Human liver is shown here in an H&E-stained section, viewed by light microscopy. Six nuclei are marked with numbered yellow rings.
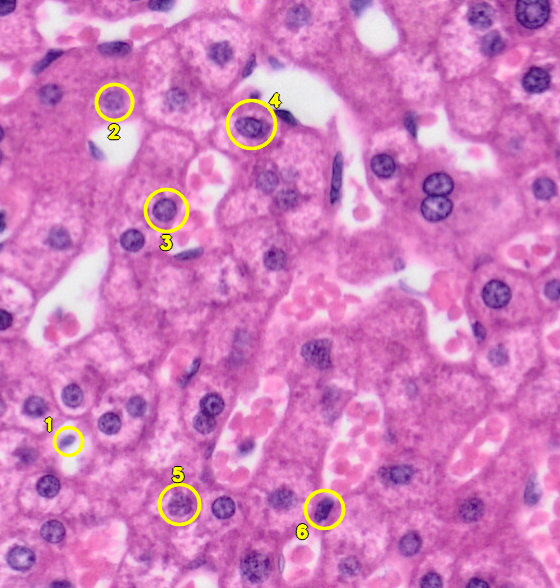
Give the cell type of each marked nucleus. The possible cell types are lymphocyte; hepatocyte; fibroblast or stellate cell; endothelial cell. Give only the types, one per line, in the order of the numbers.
lymphocyte
hepatocyte
hepatocyte
hepatocyte
hepatocyte
fibroblast or stellate cell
